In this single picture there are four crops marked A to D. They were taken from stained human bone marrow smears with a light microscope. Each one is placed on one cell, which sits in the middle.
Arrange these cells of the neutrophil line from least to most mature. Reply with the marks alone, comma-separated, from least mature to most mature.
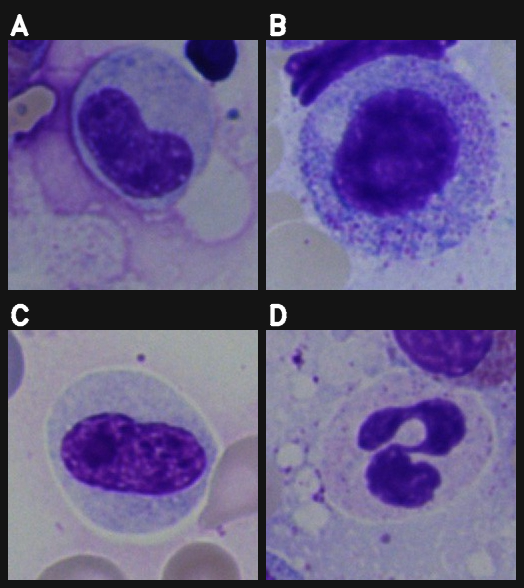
B, C, A, D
